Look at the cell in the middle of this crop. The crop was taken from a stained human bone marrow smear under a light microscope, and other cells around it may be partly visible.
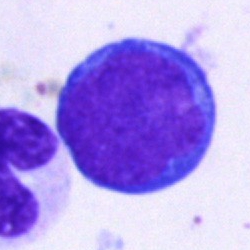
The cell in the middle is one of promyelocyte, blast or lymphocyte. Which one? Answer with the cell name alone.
blast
